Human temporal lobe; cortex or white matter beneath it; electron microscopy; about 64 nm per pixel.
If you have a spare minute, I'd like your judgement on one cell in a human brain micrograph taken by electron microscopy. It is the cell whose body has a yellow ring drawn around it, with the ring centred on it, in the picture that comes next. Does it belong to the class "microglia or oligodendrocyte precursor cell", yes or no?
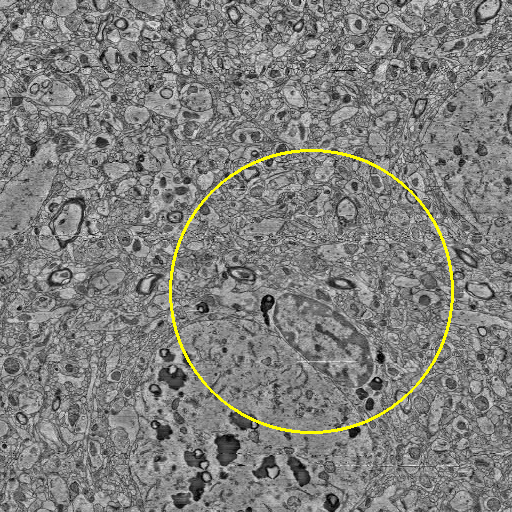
Yes, it belongs to that class.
